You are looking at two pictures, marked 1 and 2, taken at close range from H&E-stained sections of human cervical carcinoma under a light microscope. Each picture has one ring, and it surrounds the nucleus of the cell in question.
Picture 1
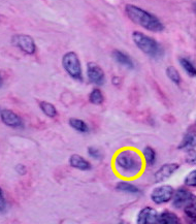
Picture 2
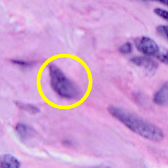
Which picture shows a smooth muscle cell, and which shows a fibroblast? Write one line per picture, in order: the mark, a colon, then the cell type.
1: smooth muscle cell
2: fibroblast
